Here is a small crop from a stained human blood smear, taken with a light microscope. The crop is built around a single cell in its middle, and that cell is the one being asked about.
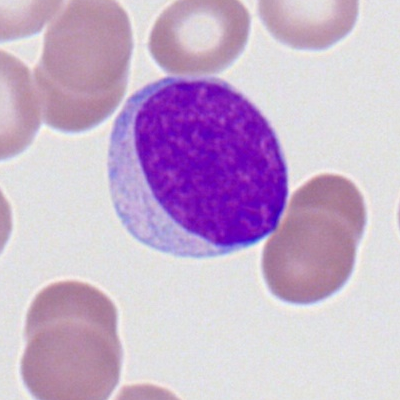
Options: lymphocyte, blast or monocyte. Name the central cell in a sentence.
As for the cell in the middle, it is a blast.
